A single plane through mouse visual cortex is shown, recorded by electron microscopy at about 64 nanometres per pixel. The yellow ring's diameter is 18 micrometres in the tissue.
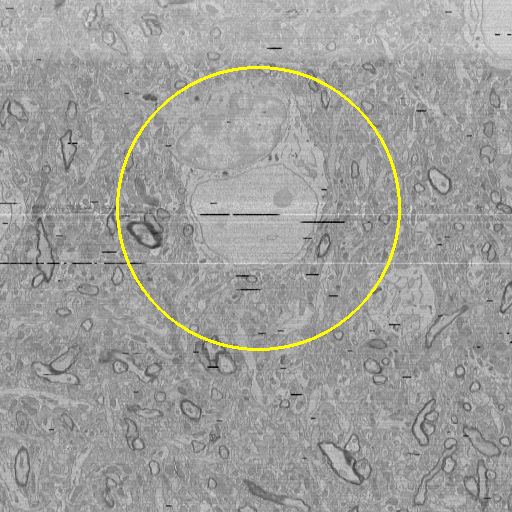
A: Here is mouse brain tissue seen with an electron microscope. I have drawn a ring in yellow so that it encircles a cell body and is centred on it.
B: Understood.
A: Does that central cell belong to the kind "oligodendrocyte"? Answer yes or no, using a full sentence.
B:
No, the central cell inside your yellow ring belongs to another kind.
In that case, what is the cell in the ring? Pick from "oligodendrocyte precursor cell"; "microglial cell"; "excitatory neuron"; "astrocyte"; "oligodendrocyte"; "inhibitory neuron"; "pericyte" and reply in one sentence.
The cell in the ring is an excitatory neuron instead.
